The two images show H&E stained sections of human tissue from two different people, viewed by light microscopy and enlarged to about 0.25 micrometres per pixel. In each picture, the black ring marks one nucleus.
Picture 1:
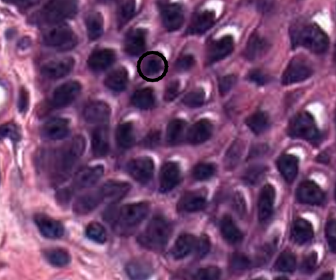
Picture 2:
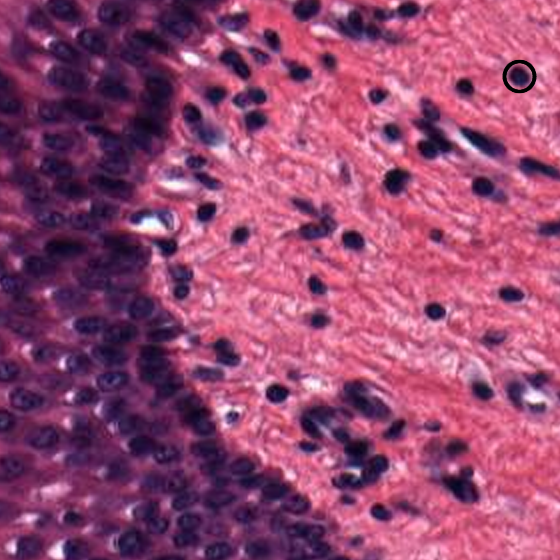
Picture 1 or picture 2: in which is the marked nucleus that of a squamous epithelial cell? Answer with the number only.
1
